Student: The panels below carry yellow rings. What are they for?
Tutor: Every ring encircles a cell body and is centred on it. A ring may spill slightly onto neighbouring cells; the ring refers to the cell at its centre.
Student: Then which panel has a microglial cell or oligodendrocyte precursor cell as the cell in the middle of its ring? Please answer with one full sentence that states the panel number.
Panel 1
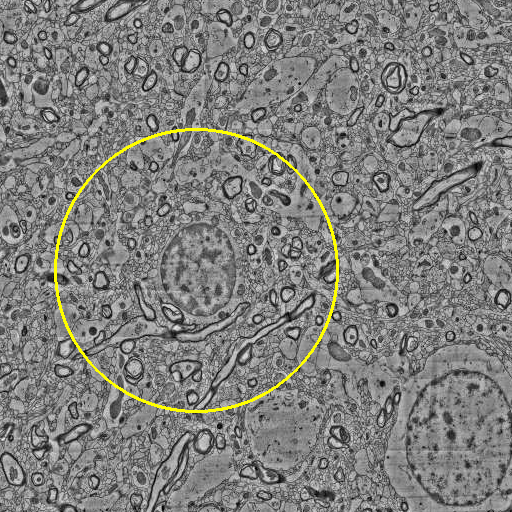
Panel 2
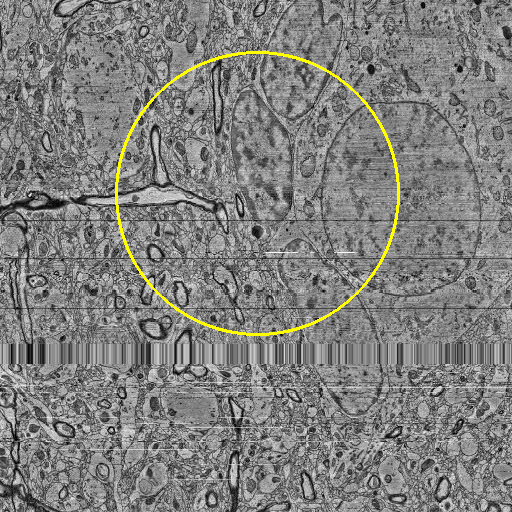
In Panel 2, the cell centred in the ring is the one sought.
